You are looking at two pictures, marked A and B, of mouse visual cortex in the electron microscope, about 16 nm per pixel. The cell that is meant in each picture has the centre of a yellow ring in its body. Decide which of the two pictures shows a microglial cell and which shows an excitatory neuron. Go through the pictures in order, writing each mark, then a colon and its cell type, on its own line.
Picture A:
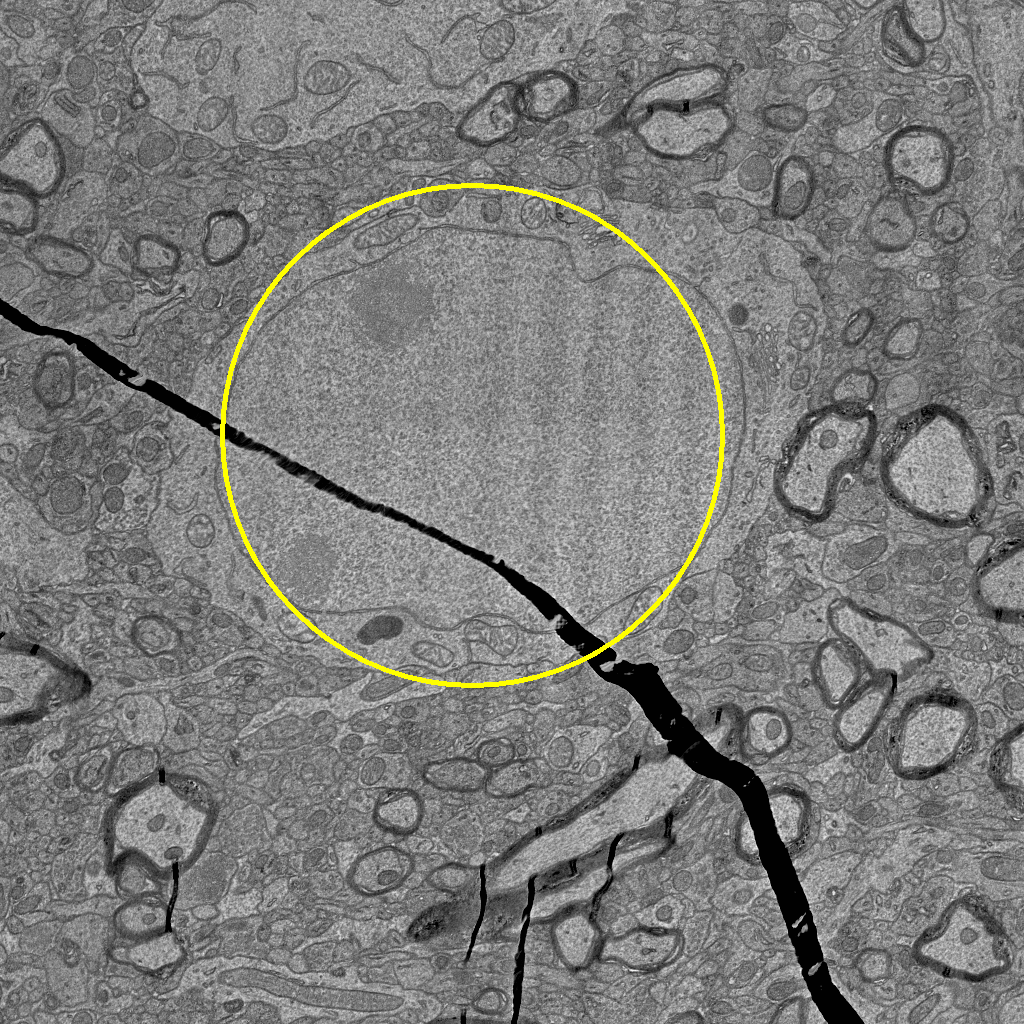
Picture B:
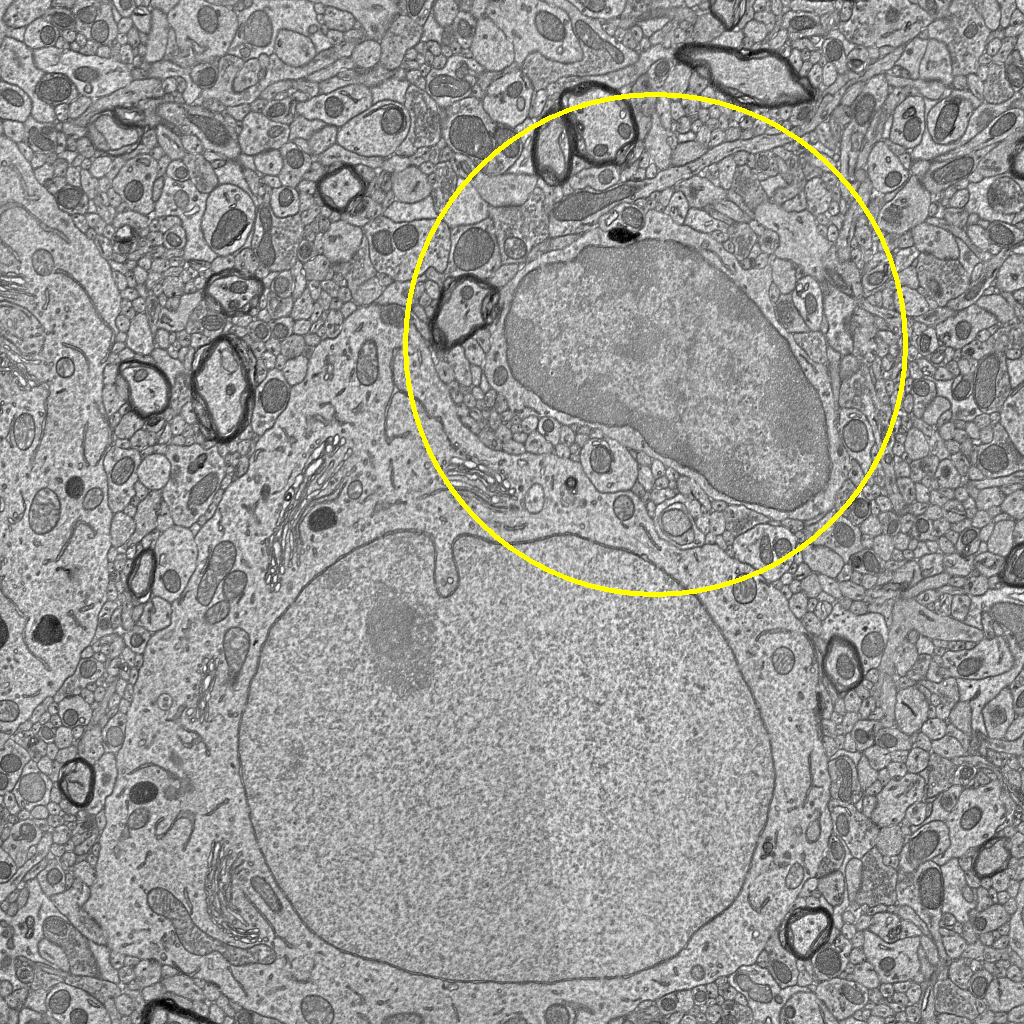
A: excitatory neuron
B: microglial cell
